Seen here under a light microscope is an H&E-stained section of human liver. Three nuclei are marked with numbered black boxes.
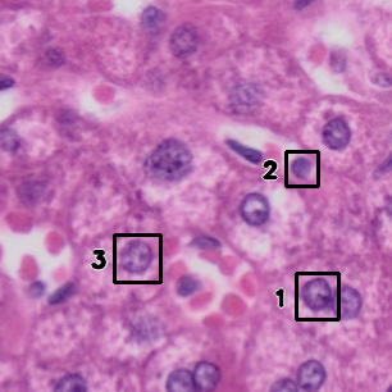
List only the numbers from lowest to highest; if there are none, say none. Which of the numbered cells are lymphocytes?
2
